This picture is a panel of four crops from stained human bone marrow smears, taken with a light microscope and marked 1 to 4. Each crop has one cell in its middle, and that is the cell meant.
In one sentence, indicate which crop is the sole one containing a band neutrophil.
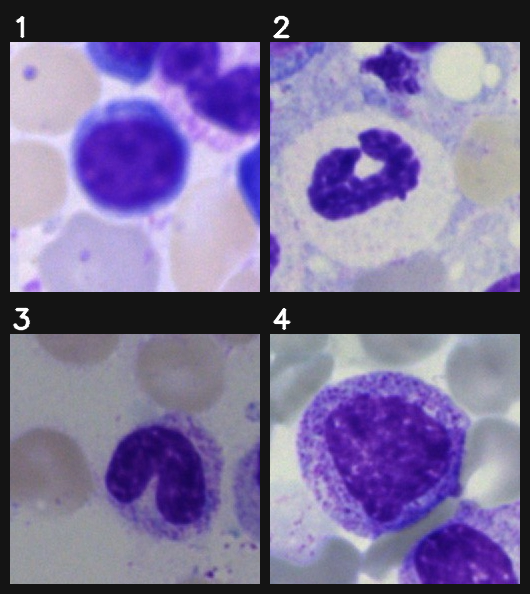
Among the crops given, only crop 3 shows a band neutrophil.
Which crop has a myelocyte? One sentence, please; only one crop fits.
Crop 4 is the crop whose central cell is a myelocyte.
